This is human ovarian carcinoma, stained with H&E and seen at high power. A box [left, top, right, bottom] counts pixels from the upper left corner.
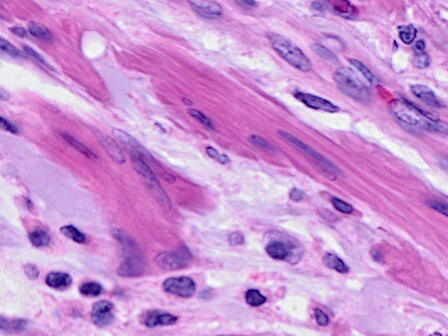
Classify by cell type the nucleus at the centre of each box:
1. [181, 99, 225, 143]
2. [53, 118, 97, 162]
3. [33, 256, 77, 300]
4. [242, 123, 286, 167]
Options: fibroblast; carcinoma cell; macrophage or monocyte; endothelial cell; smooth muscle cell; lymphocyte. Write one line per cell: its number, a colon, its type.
1: smooth muscle cell
2: smooth muscle cell
3: lymphocyte
4: smooth muscle cell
